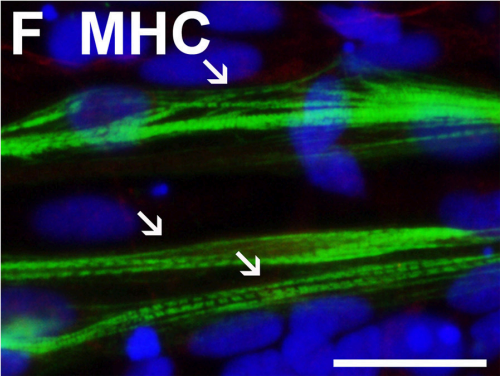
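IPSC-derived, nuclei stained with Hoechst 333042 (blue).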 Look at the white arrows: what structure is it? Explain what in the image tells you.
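Regular fine cross-banding runs across the green fibres. The bands repeat evenly along the long axis of the fibres. The answer: striation.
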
